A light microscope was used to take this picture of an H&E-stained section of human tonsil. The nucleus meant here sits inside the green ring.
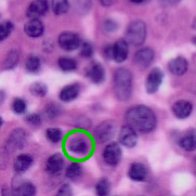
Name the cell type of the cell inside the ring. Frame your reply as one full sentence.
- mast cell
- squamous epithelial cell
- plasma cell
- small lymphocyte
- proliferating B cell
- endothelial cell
Typologically, the cell inside the ring is a plasma cell in this section.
